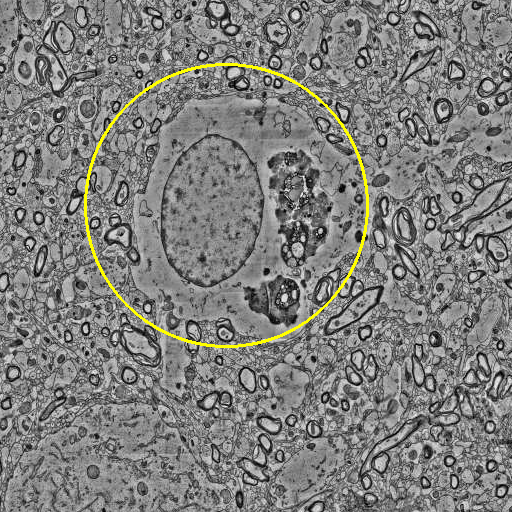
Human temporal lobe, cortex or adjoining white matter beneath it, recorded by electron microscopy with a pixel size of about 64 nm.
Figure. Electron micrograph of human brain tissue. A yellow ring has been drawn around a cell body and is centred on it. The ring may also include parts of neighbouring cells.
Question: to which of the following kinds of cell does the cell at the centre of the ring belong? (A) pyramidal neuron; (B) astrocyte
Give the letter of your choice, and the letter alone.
B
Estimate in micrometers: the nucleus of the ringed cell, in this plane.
The nucleus comes to approximately 10 by 6 micrometres and is clearly longer than it is wide in this plane.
